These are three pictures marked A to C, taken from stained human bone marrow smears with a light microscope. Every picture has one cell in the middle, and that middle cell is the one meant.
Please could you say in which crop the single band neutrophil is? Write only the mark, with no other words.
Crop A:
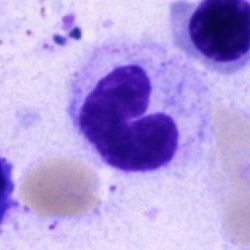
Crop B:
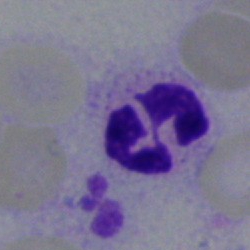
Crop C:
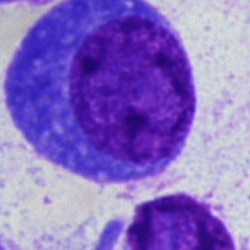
A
